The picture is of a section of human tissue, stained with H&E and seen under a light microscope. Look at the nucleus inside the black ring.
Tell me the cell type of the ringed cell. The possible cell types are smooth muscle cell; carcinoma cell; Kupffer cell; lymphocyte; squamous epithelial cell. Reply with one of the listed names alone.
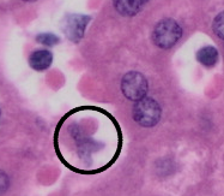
Kupffer cell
